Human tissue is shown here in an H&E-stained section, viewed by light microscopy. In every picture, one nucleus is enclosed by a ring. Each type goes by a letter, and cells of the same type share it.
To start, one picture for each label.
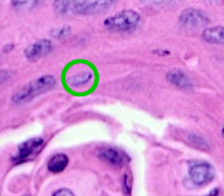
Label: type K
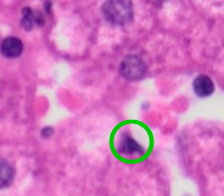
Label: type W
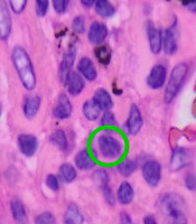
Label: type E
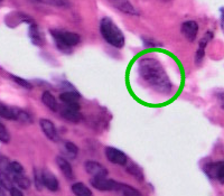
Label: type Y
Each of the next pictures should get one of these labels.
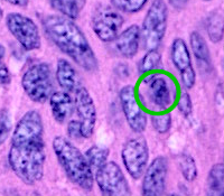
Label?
type K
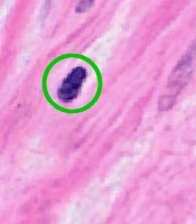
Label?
type E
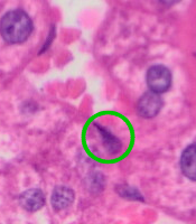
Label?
type W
